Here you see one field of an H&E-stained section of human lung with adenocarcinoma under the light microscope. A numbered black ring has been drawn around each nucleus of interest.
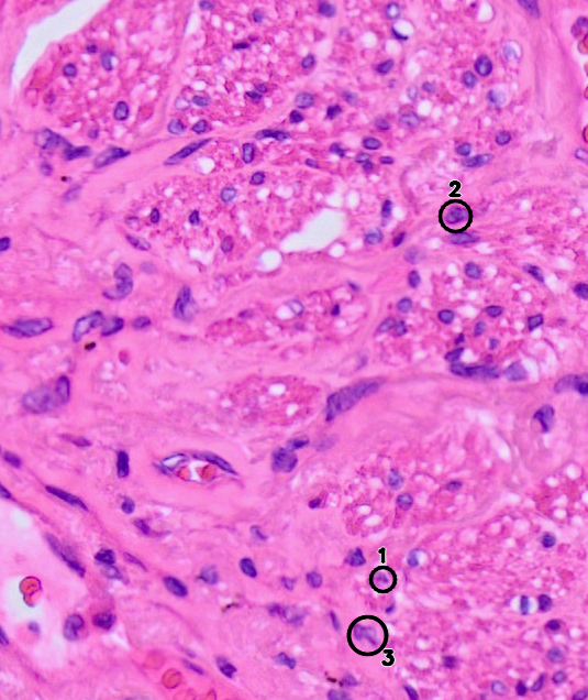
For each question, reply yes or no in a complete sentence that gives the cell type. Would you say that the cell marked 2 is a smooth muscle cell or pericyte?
Yes, the cell with the number 2 is a smooth muscle cell or pericyte.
